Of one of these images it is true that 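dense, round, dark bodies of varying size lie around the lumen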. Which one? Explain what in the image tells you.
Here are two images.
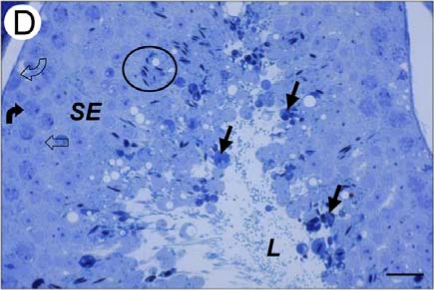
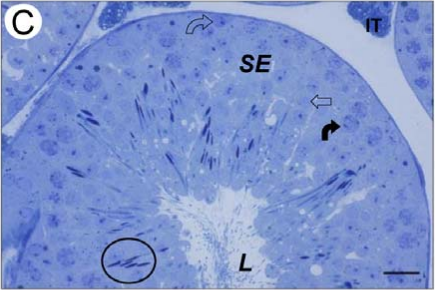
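First image: many dark round bodies of different sizes crowd the region near the lumen. Second image: the region near the lumen holds bundles of elongated spermatid heads and no such dark round bodies. So: the first image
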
